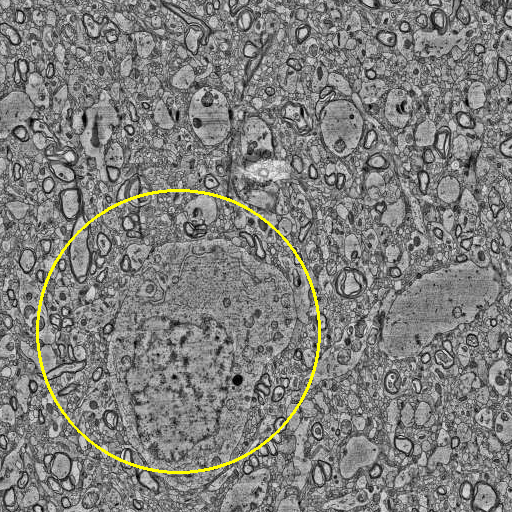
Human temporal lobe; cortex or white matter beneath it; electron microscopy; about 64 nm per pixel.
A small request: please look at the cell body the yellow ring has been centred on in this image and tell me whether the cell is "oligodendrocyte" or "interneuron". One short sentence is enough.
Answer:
The cell marked by the ring is an interneuron.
